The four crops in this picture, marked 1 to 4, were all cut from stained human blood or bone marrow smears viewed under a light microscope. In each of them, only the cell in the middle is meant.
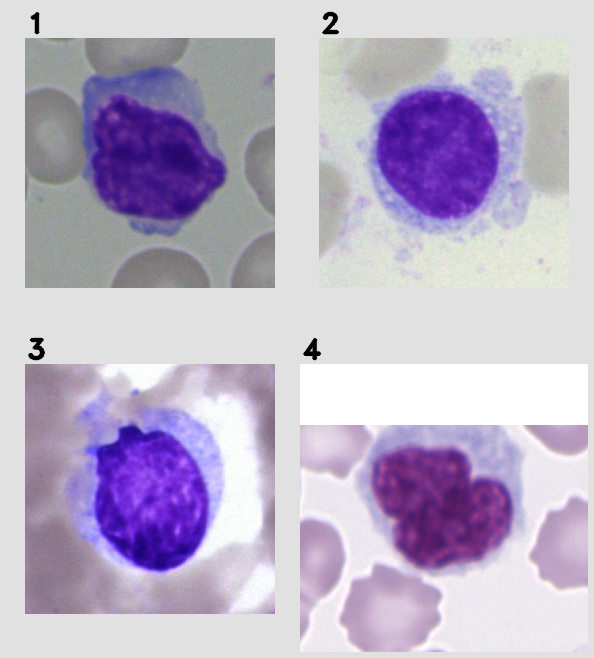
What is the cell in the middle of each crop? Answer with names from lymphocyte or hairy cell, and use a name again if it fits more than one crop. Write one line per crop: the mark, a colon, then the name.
1: lymphocyte
2: hairy cell
3: hairy cell
4: hairy cell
